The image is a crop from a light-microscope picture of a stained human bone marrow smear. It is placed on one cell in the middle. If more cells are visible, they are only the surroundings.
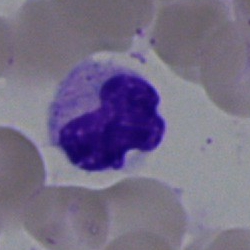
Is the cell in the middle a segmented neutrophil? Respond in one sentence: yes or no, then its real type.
Yes, the cell centred in this crop is a segmented neutrophil.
